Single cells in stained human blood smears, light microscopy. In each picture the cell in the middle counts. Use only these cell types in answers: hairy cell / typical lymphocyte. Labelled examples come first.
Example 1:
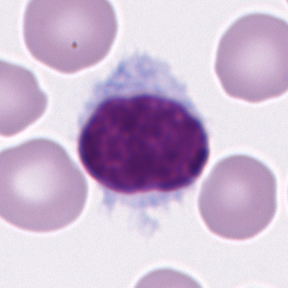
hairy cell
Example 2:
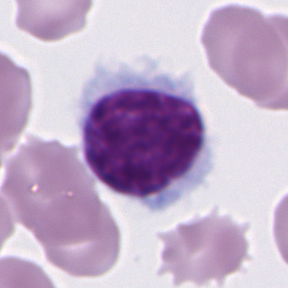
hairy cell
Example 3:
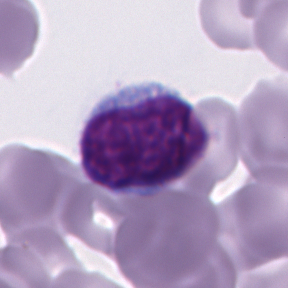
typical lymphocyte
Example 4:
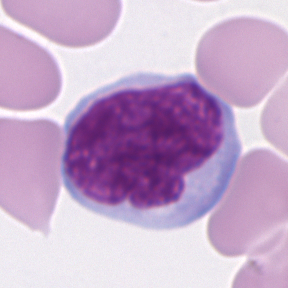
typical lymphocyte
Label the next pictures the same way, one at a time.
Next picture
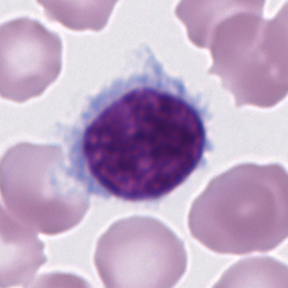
hairy cell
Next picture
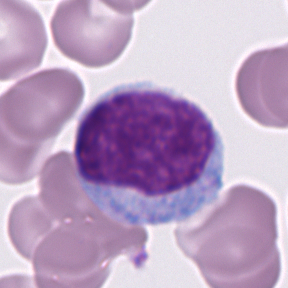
typical lymphocyte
